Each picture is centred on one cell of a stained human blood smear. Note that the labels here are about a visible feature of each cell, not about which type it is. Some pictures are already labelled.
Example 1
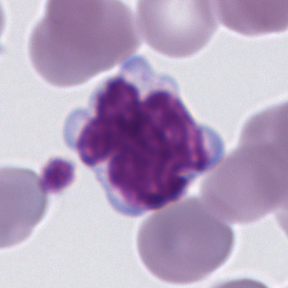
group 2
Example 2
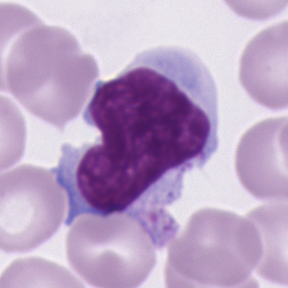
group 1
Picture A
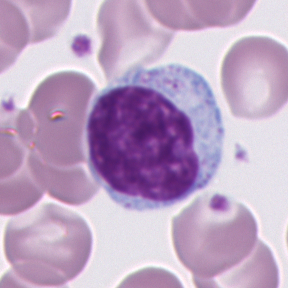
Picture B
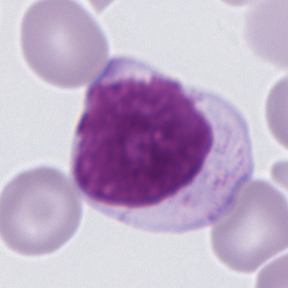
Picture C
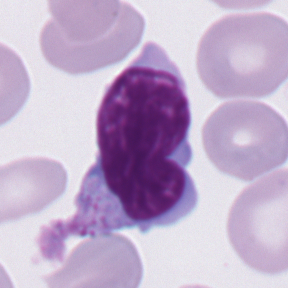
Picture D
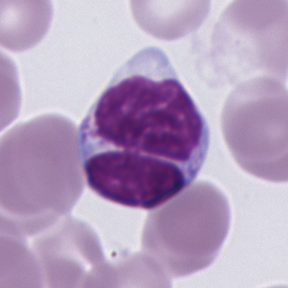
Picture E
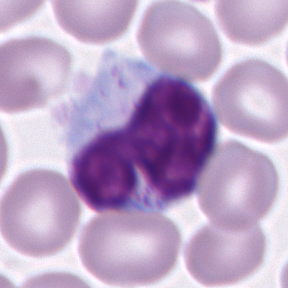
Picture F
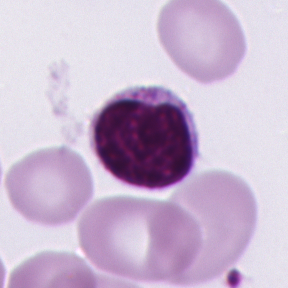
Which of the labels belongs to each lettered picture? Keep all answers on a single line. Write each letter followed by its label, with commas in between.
A group 1, B group 1, C group 2, D group 2, E group 2, F group 1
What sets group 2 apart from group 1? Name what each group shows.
group 2: lobed nucleus; group 1: single compact nucleus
